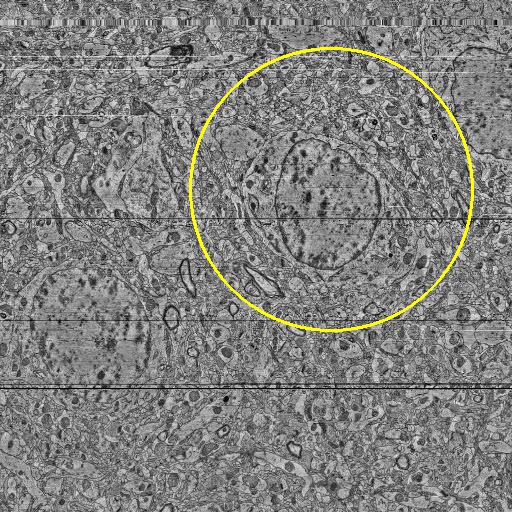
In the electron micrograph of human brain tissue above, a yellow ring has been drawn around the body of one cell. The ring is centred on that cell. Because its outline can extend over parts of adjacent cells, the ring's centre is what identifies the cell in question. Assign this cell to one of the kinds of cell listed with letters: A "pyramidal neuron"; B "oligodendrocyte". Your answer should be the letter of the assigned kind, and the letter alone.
A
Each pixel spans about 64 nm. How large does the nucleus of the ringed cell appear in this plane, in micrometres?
The nucleus appears roughly 9 by 7 micrometres in this plane.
